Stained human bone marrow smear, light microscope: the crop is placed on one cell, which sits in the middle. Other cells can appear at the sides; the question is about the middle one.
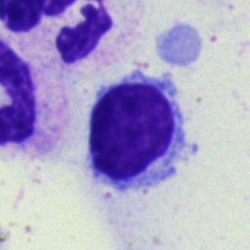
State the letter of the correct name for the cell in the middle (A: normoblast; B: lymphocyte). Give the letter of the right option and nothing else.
B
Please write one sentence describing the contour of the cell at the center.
Irregularity marks the cell border, whether as raggedness or as projections.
